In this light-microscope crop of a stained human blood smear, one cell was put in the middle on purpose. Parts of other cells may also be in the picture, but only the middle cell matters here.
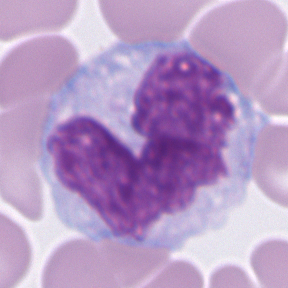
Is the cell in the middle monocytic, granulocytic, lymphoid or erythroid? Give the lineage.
monocytic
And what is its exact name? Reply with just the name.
monocyte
